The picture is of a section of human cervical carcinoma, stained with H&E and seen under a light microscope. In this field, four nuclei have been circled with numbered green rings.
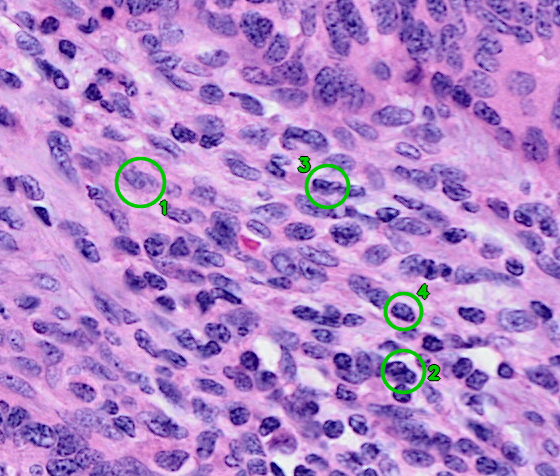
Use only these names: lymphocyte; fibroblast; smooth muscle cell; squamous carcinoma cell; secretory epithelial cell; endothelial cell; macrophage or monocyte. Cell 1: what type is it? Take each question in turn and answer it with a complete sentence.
The nucleus labeled 1 belongs to an endothelial cell.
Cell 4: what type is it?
The cell to which the number 4 is assigned is a lymphocyte.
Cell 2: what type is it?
The cell identified by the number 2 is a lymphocyte.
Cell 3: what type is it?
The cell pointed out as number 3 is a lymphocyte.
